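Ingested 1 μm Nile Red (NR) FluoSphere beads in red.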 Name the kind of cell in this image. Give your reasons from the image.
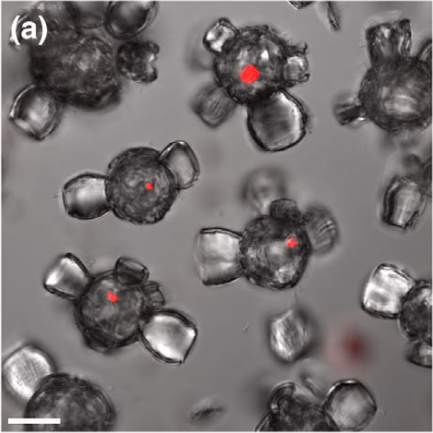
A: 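Coccolithophore. Round single cells covered by transparent calcified plates. Several large barrel- or vase-shaped plates project from each cell surface. Loose plates lie free between the cells.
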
